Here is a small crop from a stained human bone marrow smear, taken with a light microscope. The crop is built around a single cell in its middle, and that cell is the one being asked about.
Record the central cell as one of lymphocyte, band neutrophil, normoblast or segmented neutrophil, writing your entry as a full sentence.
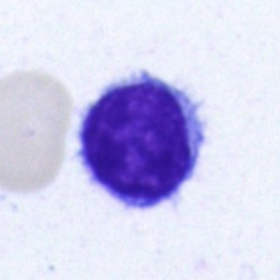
The cell at the middle of the frame should be recorded as a lymphocyte.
